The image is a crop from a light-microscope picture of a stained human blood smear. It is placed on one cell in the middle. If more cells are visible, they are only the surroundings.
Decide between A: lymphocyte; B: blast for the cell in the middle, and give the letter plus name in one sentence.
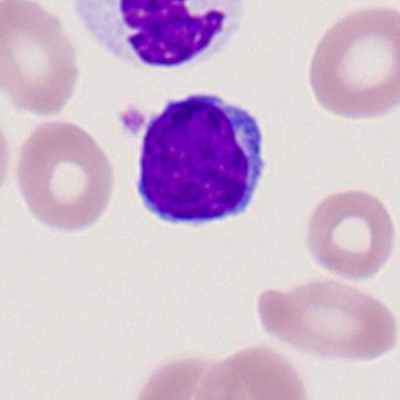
The cell in the middle is a lymphocyte, and that makes option A correct.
